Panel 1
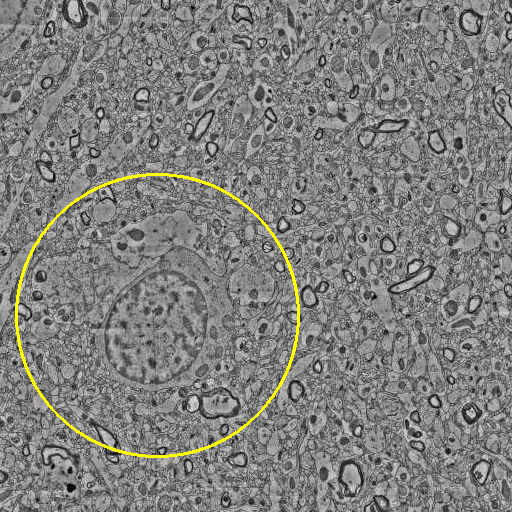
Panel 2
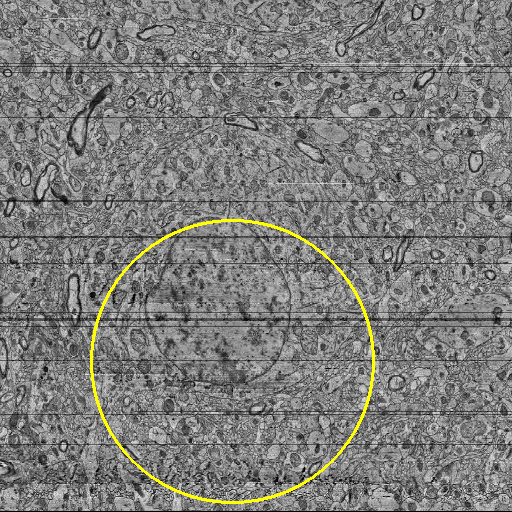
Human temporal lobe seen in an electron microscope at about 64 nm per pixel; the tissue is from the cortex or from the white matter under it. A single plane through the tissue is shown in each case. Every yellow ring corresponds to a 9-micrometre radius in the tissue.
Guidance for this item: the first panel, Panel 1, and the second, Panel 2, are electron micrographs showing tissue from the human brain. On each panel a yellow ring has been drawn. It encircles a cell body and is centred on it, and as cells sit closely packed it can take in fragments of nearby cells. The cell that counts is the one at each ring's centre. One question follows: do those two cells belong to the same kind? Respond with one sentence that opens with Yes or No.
No, the cells at the ring centres in Panel 1 and Panel 2 are of two kinds.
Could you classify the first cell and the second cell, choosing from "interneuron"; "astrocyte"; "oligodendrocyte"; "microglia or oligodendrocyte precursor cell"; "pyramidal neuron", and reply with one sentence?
The second cell is an interneuron, while the first is an oligodendrocyte.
